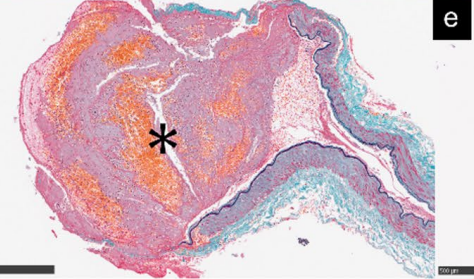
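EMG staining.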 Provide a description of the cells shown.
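A cross-section of a small artery with a large attached clot. The vessel wall runs along one side of the section. It has a dark, wavy elastic lamina on its inner side, a pinkish muscular layer, and an outer layer stained blue-green. A large rounded clot bulges away from the vessel. It contains patches of orange-stained red blood cells within paler pink-grey material, and narrow clefts run through its centre. Toward the edge where the clot meets the tissue, the elastic lamina is no longer seen.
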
